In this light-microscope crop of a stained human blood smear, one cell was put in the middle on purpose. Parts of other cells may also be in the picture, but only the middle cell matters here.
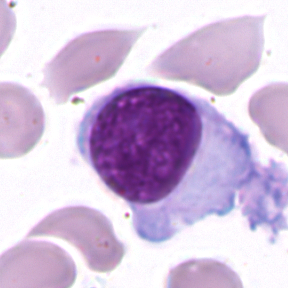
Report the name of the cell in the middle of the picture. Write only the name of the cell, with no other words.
plasma cell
